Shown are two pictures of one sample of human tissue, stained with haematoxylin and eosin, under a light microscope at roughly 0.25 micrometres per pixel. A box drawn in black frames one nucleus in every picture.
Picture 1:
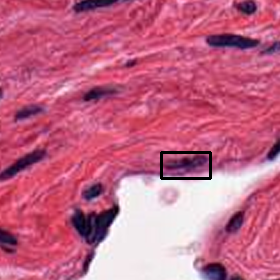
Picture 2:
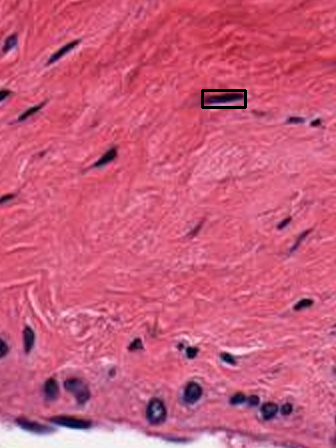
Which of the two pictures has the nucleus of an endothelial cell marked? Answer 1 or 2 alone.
1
